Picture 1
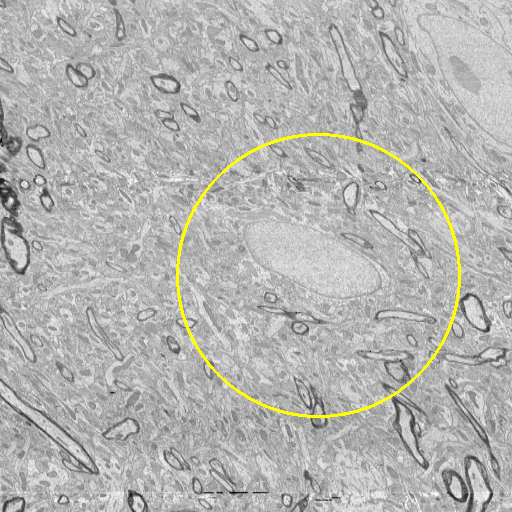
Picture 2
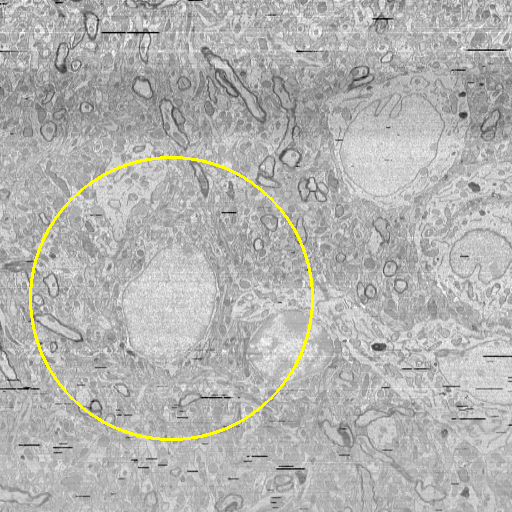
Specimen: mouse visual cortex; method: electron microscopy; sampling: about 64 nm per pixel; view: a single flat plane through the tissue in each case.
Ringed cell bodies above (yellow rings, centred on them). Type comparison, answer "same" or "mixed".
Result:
same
